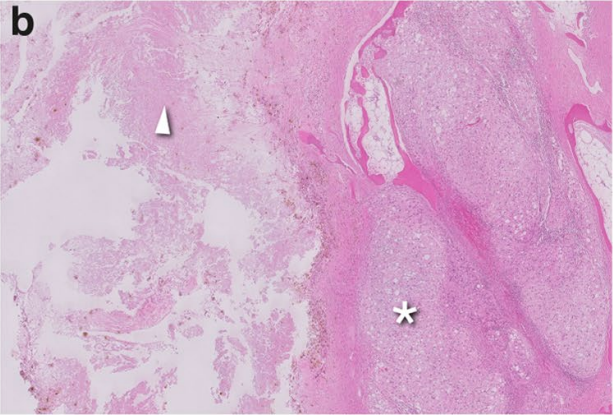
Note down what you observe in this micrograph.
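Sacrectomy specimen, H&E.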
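At low power, the right half shows rounded lobules of tumour cells with pink cytoplasm stippled by many small clear vacuoles, outlined by denser pink fibrous bands. The left half is a loose, pale pink fibrillar area with clear spaces and scattered brownish specks, unlike the orderly lobules beside it. Between the two runs a transitional zone where the loose material meets the cellular tumour.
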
